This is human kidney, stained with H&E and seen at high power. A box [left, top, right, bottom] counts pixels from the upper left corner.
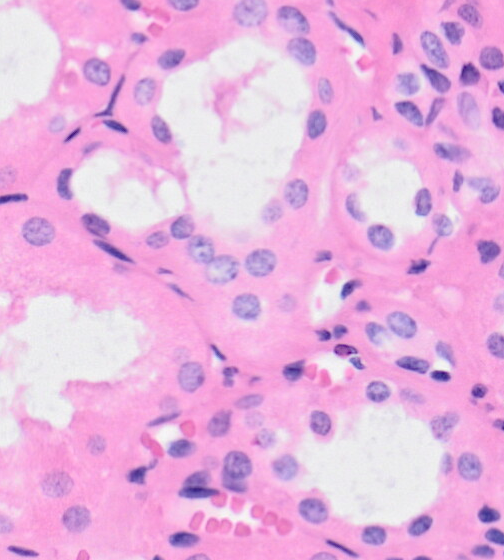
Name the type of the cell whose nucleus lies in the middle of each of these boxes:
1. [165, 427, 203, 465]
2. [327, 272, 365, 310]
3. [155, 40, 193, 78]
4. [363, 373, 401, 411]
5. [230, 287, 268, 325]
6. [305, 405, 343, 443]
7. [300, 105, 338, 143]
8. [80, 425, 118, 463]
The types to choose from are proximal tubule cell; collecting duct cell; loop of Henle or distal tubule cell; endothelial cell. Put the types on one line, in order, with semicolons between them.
endothelial cell; endothelial cell; loop of Henle or distal tubule cell; loop of Henle or distal tubule cell; loop of Henle or distal tubule cell; loop of Henle or distal tubule cell; loop of Henle or distal tubule cell; proximal tubule cell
